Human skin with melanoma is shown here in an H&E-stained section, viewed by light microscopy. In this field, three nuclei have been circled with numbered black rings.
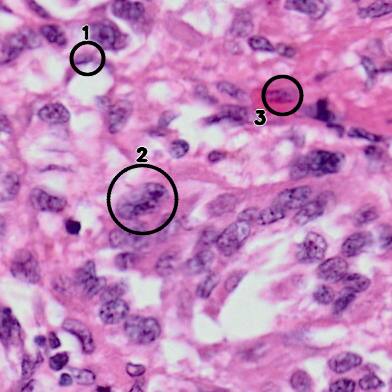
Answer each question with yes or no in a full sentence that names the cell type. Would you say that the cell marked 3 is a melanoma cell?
No, the cell tagged 3 is an endothelial cell, and not a melanoma cell.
